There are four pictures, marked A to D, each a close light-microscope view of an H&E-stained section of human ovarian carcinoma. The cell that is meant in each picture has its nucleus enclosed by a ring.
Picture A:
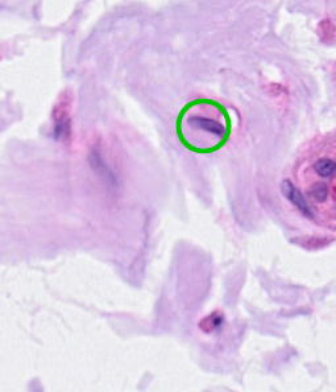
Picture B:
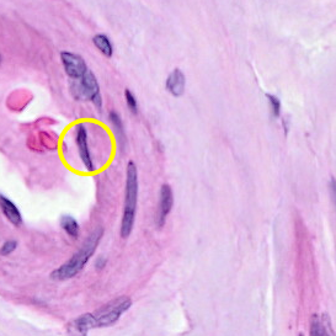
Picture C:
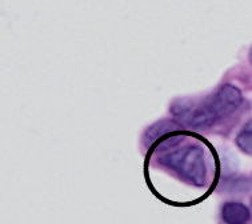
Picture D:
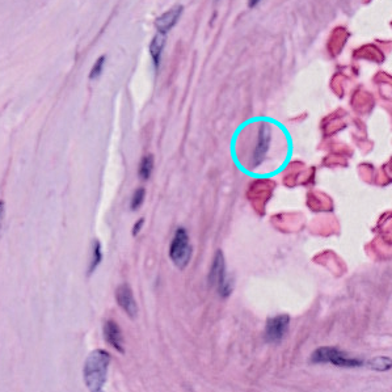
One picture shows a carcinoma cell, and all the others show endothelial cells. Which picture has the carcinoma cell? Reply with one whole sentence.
Picture C is the one that shows the carcinoma cell.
